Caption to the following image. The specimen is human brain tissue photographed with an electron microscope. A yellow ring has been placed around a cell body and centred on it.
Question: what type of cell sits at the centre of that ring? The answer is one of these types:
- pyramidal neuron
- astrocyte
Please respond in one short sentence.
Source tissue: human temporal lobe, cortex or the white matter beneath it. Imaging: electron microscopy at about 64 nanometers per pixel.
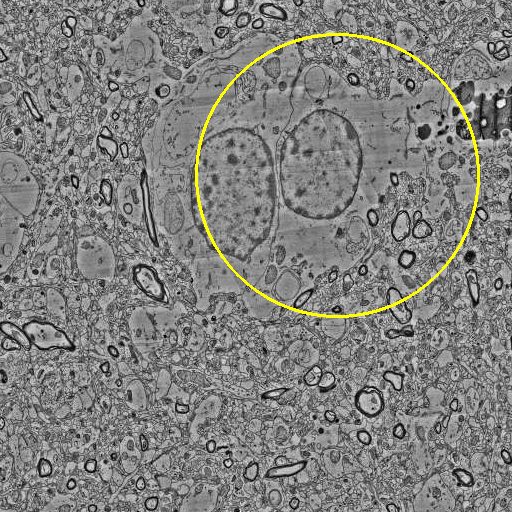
The ring surrounds the cell body of an astrocyte.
